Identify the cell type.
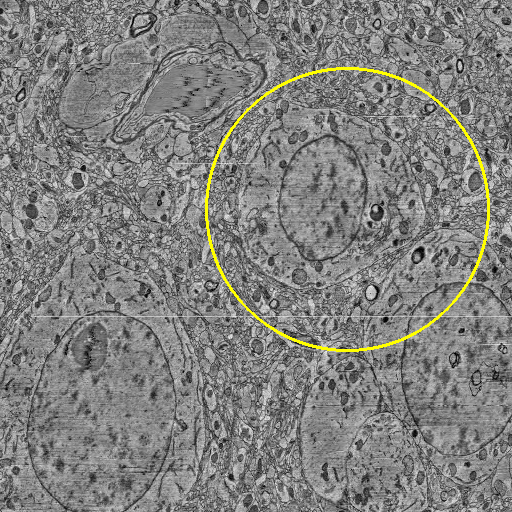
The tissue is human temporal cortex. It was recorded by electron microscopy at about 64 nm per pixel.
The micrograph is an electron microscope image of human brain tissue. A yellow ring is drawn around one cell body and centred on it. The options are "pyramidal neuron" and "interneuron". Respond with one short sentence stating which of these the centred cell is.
The cell body in the ring belongs to a pyramidal neuron.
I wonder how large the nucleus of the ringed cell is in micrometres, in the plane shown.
In this plane, about 8 by 6 micrometres: the nucleus is clearly longer than it is wide.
